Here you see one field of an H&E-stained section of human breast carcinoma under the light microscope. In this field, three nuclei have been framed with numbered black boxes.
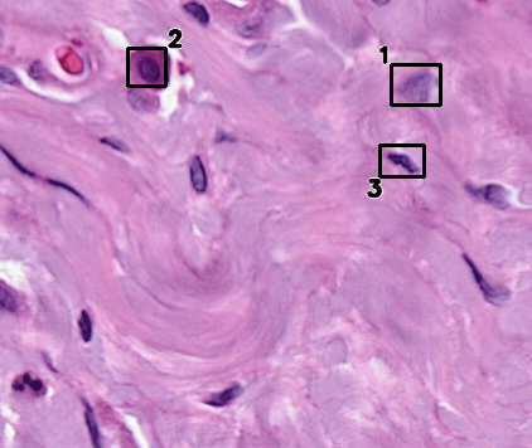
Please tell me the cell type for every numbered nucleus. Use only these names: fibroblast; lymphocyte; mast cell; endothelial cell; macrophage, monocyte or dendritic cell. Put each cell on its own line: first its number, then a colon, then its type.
1: fibroblast
2: mast cell
3: fibroblast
